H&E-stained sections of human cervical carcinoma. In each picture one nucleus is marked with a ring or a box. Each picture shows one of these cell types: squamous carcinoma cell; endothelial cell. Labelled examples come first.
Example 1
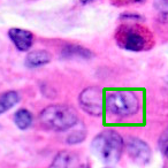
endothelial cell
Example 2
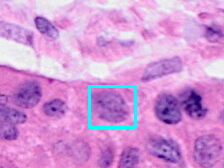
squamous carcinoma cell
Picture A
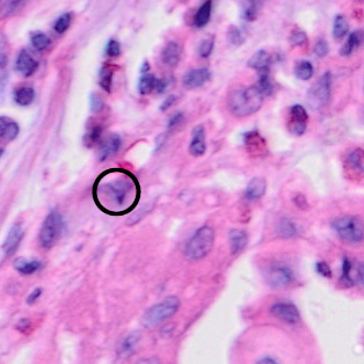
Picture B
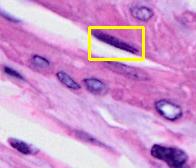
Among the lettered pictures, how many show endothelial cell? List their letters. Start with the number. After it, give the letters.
2: A, B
